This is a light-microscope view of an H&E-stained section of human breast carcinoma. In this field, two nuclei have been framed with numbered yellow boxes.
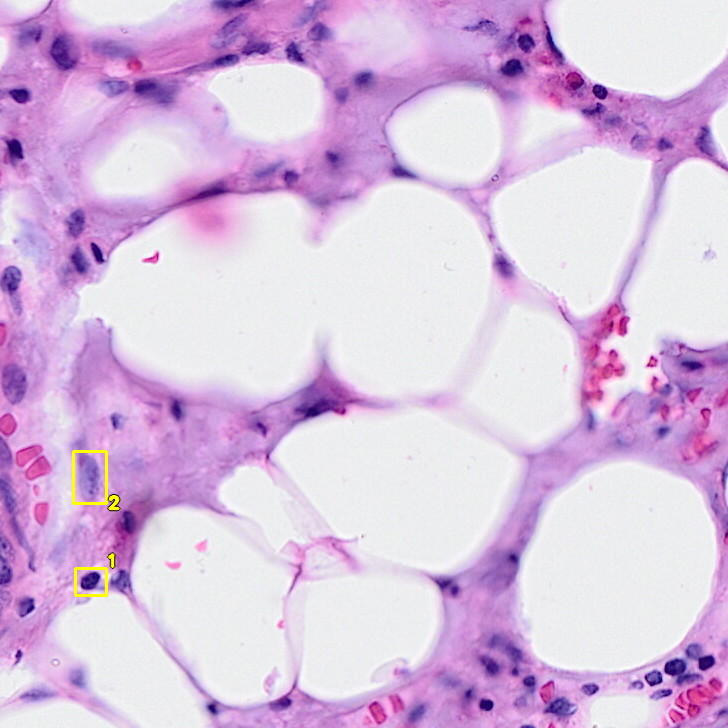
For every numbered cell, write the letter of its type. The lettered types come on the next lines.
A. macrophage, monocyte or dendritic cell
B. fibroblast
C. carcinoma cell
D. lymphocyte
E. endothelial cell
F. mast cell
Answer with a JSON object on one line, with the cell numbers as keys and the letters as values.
{"1": "D", "2": "B"}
